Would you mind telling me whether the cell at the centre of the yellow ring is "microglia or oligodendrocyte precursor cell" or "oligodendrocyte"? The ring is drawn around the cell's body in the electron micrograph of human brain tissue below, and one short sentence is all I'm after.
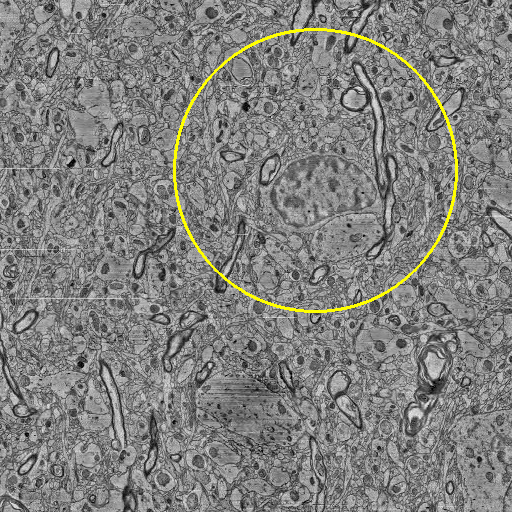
In the centre of the ring lies an oligodendrocyte.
